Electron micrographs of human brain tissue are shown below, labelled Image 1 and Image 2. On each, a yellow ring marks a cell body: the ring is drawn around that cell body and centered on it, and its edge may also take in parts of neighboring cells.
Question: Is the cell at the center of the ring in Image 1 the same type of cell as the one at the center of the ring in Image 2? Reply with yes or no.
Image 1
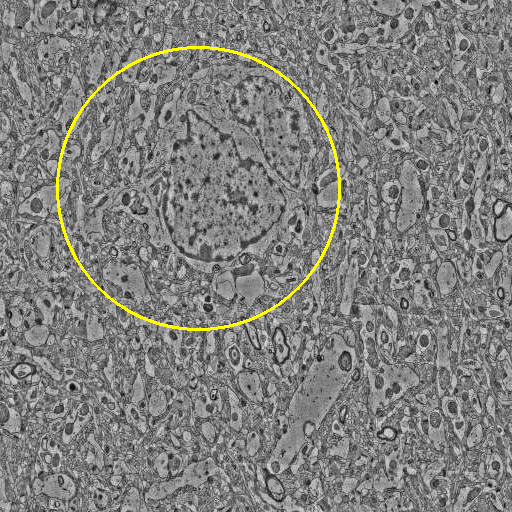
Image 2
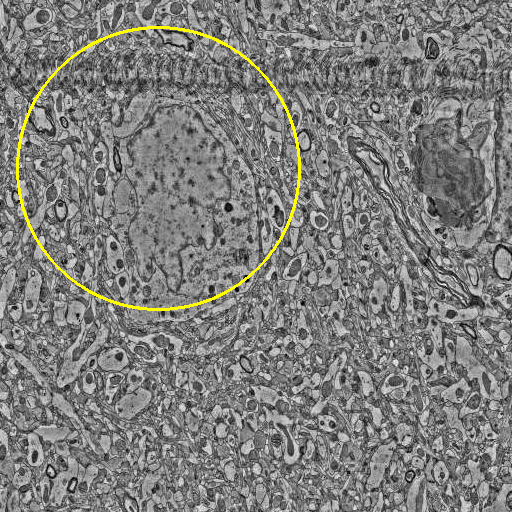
no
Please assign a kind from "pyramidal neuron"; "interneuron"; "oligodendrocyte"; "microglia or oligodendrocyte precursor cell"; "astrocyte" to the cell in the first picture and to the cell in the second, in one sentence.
In the first picture we have an astrocyte, and in the second, an interneuron.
